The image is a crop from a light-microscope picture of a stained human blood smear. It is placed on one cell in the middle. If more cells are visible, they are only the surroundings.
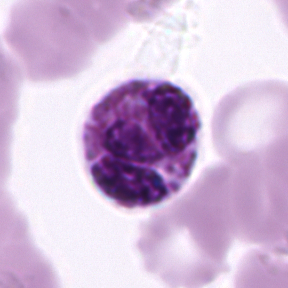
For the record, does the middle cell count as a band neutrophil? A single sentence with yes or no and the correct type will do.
No, the central cell is not a band neutrophil; it is an eosinophil instead.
